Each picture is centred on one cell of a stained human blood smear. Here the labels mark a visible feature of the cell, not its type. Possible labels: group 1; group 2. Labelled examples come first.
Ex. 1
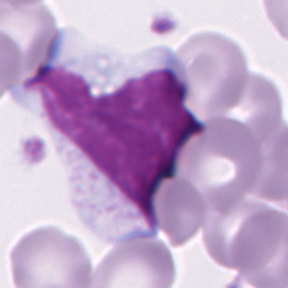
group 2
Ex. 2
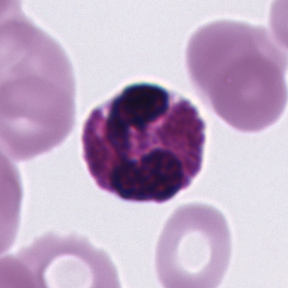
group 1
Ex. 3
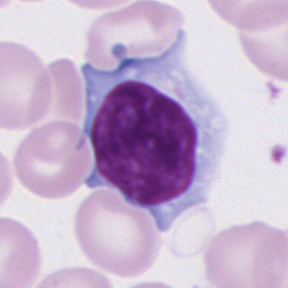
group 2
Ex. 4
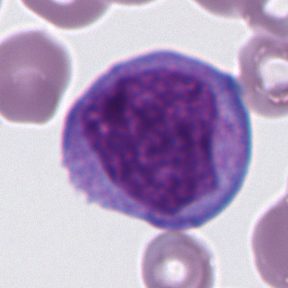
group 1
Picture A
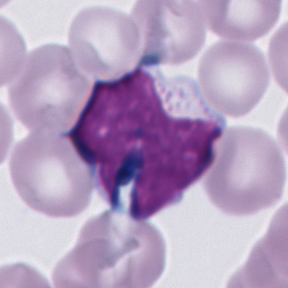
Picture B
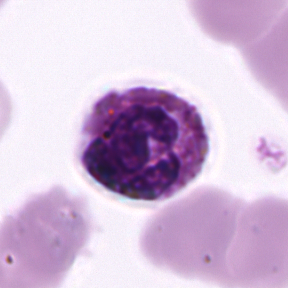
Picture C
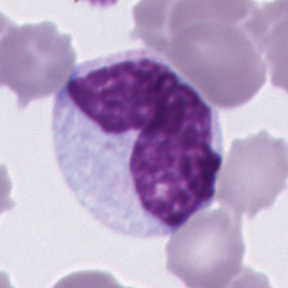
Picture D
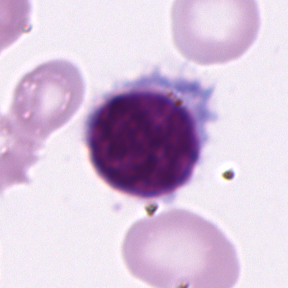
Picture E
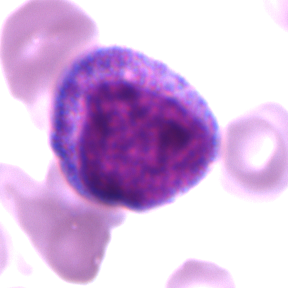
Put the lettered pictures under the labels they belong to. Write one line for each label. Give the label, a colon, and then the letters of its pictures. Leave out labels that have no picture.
group 1: B, C, D, E
group 2: A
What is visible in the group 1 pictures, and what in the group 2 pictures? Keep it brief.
group 1: no vacuoles; group 2: vacuoles present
